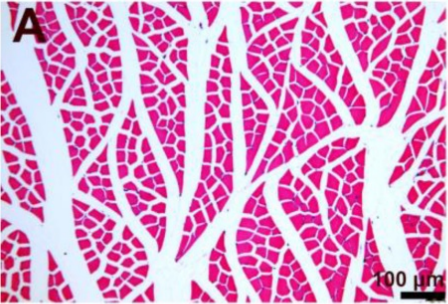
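Cross-section of skeletal muscle with deeply pink, polygonal muscle fibers packed tightly into bundles. Bundles are separated by broad white clefts.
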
